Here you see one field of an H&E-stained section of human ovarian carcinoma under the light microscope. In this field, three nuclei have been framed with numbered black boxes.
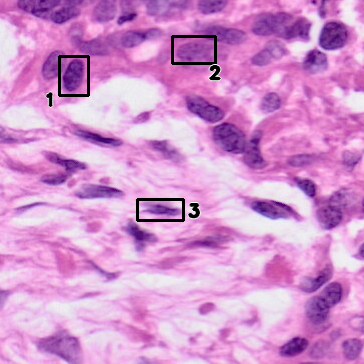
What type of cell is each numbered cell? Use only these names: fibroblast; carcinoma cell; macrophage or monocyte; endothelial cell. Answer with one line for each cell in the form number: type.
1: carcinoma cell
2: carcinoma cell
3: fibroblast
